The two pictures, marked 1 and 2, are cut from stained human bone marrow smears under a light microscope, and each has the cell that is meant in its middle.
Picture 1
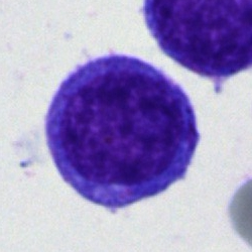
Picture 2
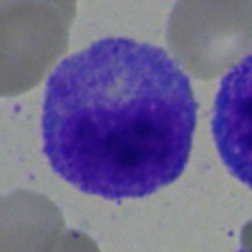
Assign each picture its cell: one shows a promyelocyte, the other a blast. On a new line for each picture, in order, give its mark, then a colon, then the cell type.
1: blast
2: promyelocyte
